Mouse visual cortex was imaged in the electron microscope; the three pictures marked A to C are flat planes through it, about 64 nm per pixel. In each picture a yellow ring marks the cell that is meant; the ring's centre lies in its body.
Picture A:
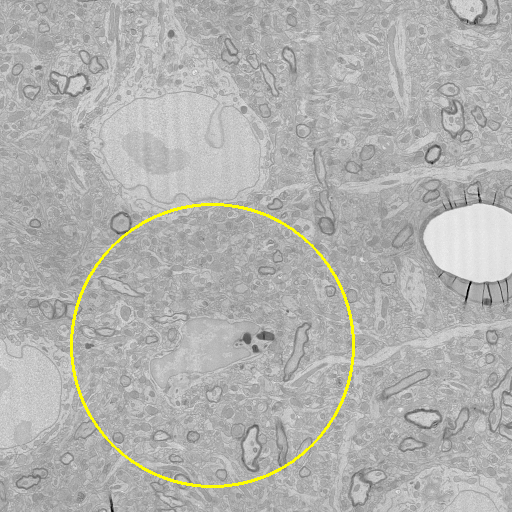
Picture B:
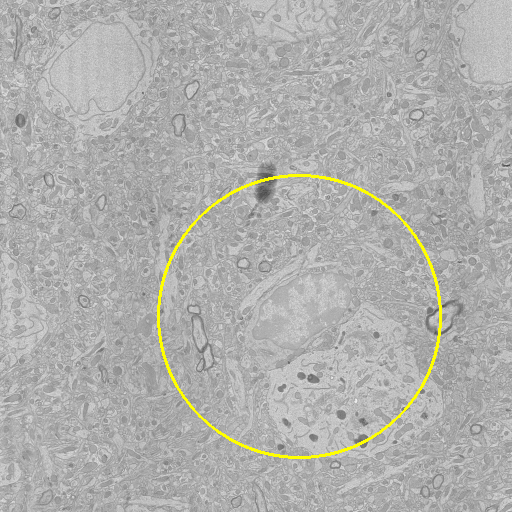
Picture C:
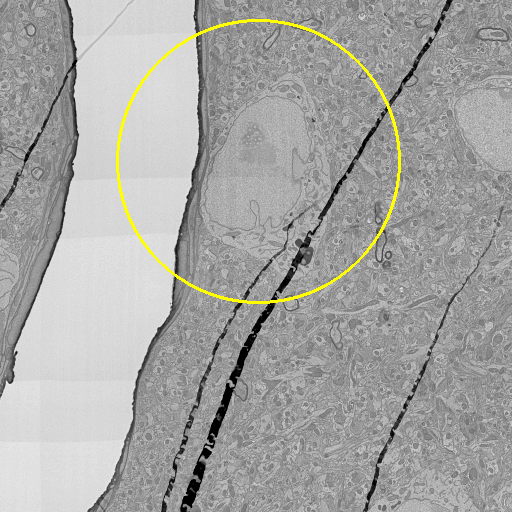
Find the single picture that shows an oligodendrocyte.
Picture B is the one that shows the oligodendrocyte.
